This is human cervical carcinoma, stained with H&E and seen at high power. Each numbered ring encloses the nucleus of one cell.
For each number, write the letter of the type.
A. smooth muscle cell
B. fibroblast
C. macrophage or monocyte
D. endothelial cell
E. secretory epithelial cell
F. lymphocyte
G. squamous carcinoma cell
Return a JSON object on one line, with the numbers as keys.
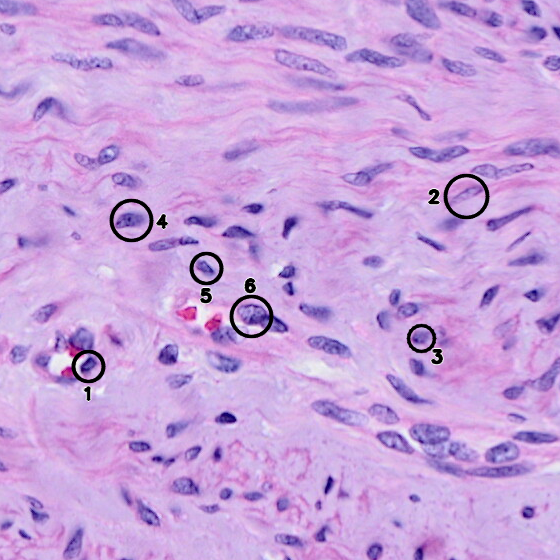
{"1": "D", "2": "A", "3": "A", "4": "B", "5": "B", "6": "D"}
